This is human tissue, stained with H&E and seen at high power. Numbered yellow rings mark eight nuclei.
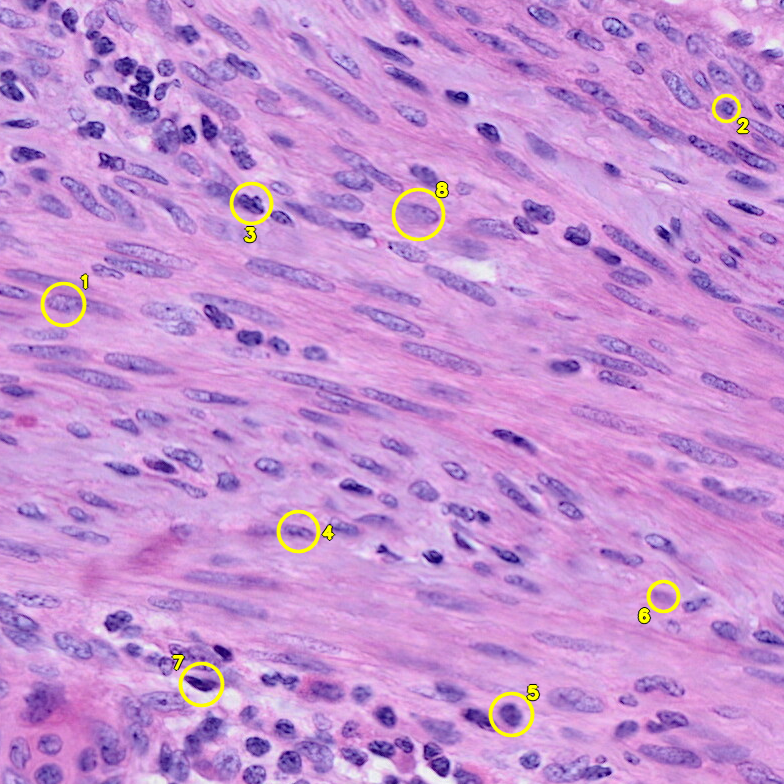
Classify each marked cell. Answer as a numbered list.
1. smooth muscle cell
2. smooth muscle cell
3. lymphocyte
4. smooth muscle cell
5. lymphocyte
6. smooth muscle cell
7. lymphocyte
8. smooth muscle cell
